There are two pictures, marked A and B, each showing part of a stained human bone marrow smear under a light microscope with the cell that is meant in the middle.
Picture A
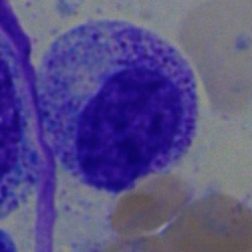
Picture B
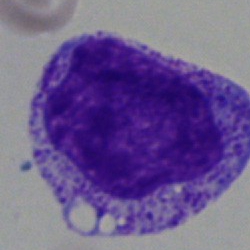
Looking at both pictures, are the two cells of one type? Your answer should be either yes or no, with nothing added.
yes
